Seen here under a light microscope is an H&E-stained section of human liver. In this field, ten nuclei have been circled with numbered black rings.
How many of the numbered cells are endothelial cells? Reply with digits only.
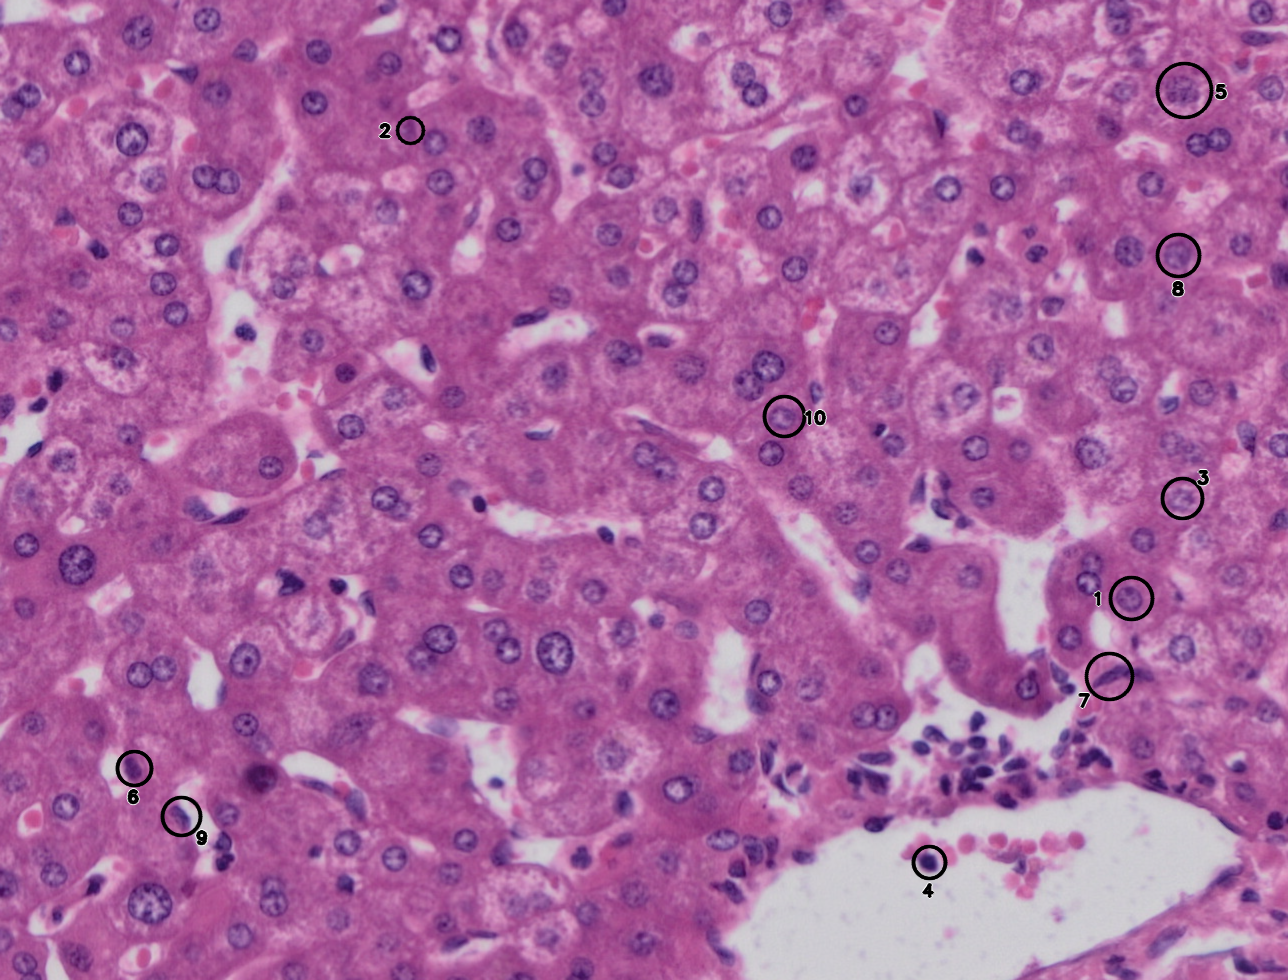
1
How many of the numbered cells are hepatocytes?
6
